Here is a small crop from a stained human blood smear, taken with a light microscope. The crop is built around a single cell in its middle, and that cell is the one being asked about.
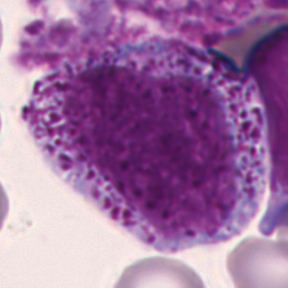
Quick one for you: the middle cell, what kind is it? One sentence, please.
The cell marked by its central position in the crop is a promyelocyte.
